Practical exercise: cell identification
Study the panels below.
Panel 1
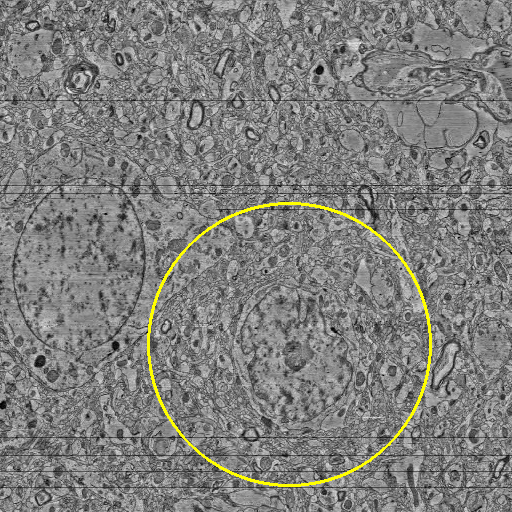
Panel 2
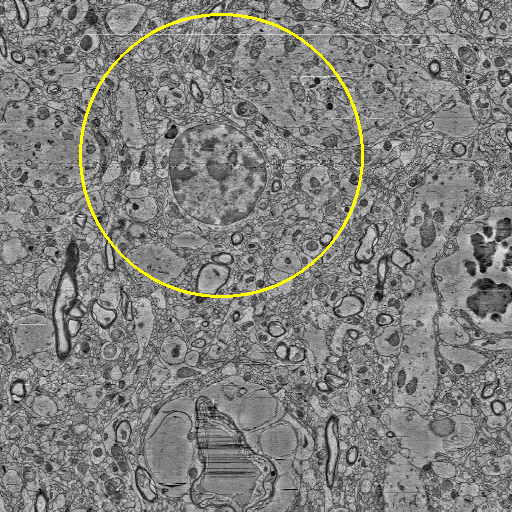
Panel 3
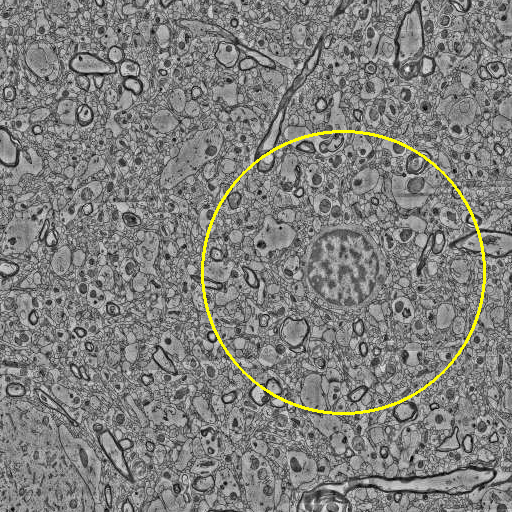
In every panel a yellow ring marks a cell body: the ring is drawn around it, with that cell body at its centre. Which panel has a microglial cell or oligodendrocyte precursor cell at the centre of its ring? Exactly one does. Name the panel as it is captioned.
Panel 2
